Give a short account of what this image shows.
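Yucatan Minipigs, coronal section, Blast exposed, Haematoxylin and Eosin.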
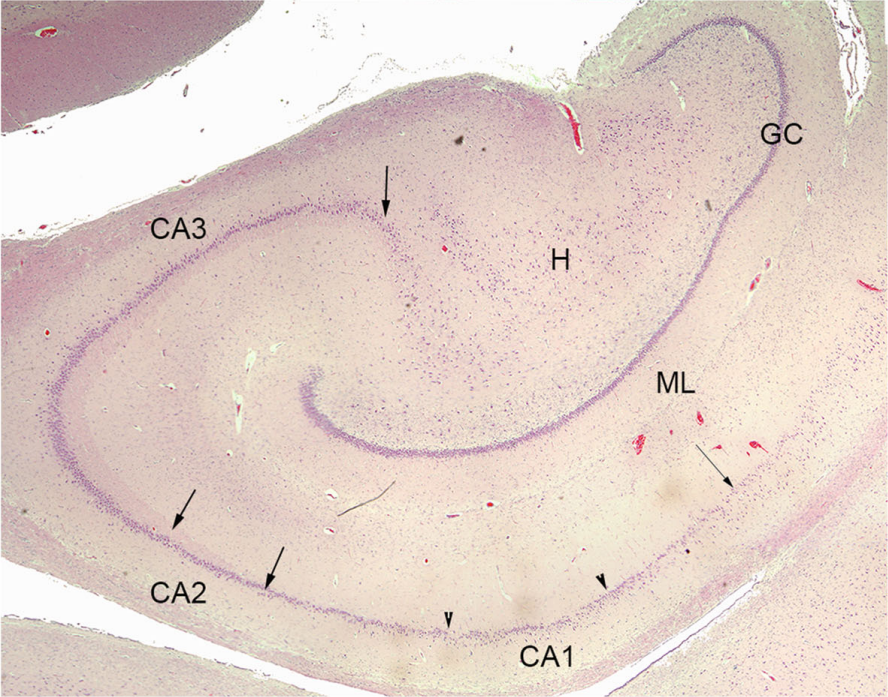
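This low-power view shows the hippocampus, with a long curving band of purple-stained neurons wrapping around a tighter, densely packed curved band of small cells. The scattered cells of the zone enclosed by the tighter band are visible near its middle. The outer curved band is thinner and more loosely packed toward the lower part of the section, where arrows and arrowheads mark points along it. The pale pink background holds small red-filled blood vessels.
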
